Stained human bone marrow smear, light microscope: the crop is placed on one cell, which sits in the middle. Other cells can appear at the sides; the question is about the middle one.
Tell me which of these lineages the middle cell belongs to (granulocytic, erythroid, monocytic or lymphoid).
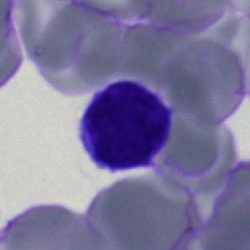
lymphoid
